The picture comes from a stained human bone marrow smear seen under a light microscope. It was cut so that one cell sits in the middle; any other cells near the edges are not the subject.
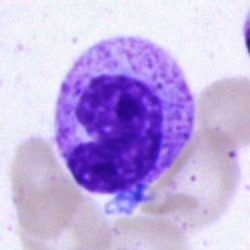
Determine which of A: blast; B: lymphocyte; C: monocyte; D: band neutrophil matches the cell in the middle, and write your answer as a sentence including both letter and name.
The cell in the middle is a band neutrophil, so option D is correct.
